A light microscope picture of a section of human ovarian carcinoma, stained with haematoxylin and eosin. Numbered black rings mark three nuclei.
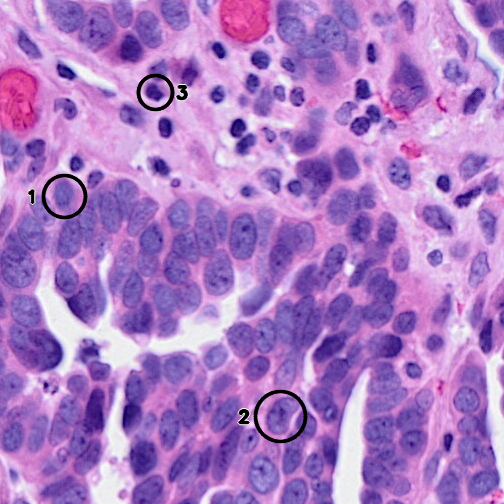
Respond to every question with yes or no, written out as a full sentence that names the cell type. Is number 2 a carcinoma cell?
Yes, the cell with number 2 is a carcinoma cell.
